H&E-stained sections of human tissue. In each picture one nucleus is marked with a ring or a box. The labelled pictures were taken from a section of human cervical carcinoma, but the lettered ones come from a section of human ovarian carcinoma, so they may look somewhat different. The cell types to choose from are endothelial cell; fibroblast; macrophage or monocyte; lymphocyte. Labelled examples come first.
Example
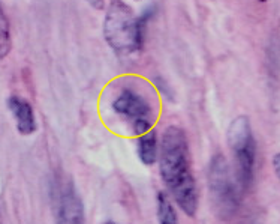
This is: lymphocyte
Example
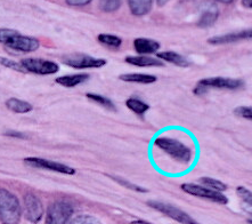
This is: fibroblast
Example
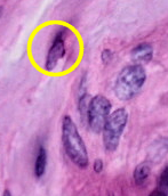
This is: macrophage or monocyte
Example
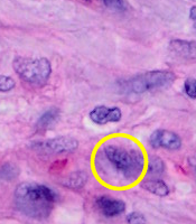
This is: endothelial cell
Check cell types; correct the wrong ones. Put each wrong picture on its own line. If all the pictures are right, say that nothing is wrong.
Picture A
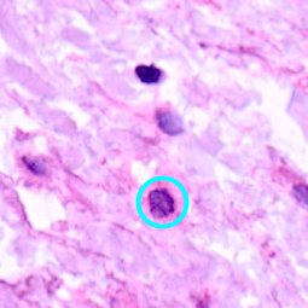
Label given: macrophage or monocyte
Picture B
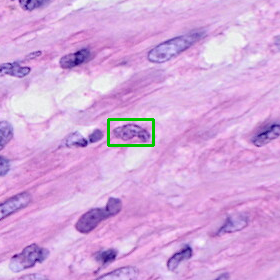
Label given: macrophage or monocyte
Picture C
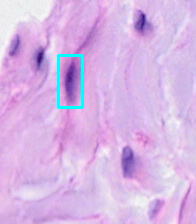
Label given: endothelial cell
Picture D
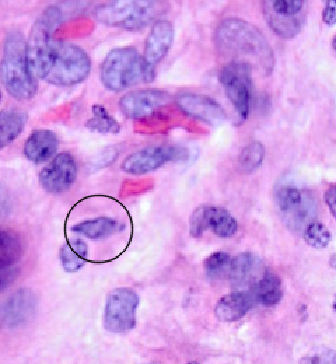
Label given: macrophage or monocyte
None of the labels needs changing.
